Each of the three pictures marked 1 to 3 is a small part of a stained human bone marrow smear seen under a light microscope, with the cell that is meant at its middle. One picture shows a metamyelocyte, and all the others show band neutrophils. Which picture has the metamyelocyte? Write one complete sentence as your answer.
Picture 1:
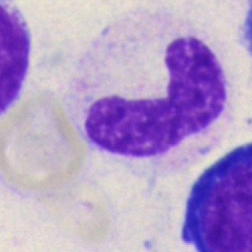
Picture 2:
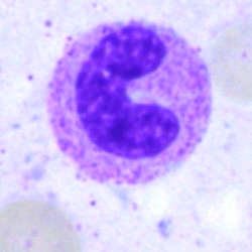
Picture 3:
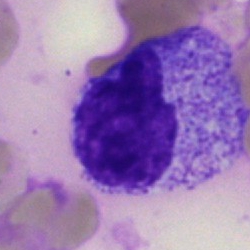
The metamyelocyte is the one in picture 3.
